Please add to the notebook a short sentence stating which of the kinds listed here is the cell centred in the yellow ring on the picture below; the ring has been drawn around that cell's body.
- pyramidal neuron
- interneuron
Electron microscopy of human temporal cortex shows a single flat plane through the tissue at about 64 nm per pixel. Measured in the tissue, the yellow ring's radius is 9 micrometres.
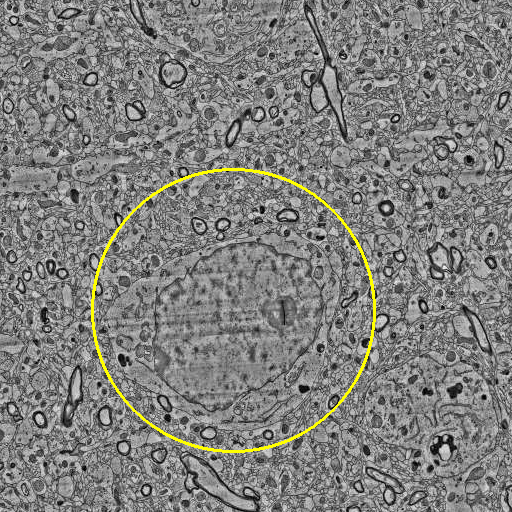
The cell centred in the yellow ring is an interneuron.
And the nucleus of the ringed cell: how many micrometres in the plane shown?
In this plane the nucleus is about 12 micrometres by 9.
